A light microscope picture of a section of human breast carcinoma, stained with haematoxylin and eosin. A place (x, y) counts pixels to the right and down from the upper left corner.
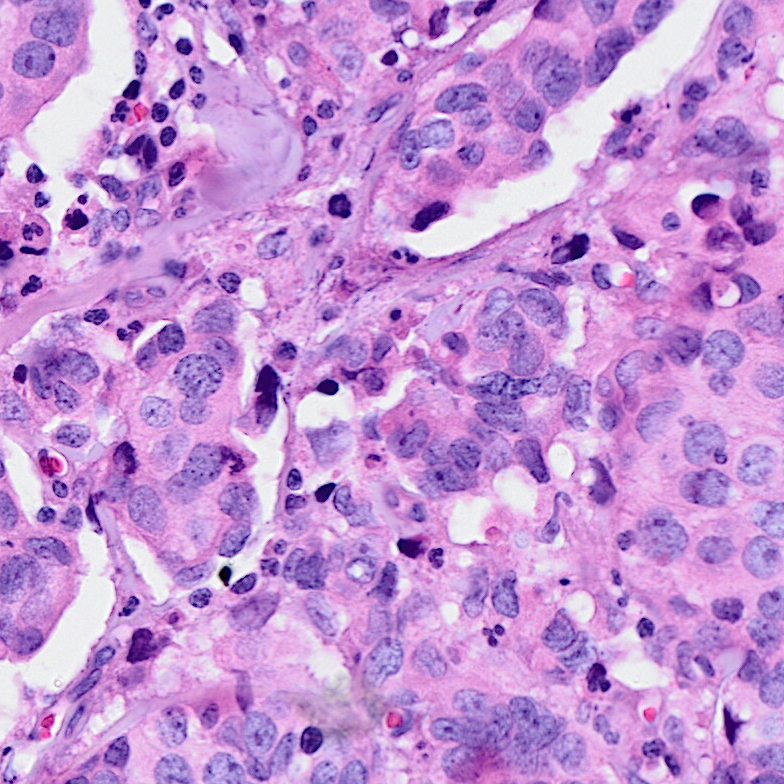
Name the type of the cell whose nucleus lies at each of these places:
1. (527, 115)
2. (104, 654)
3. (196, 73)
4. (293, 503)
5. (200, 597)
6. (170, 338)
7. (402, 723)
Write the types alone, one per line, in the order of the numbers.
carcinoma cell
endothelial cell
lymphocyte
lymphocyte
lymphocyte
carcinoma cell
endothelial cell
